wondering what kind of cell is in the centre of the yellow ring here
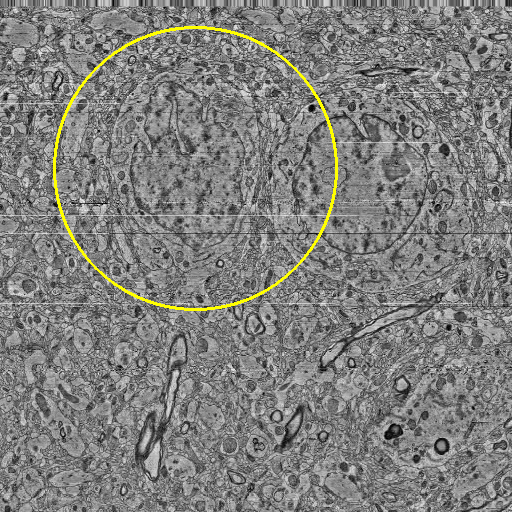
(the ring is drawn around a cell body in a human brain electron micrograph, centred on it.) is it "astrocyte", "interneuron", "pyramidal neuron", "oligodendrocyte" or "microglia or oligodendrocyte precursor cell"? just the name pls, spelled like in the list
interneuron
